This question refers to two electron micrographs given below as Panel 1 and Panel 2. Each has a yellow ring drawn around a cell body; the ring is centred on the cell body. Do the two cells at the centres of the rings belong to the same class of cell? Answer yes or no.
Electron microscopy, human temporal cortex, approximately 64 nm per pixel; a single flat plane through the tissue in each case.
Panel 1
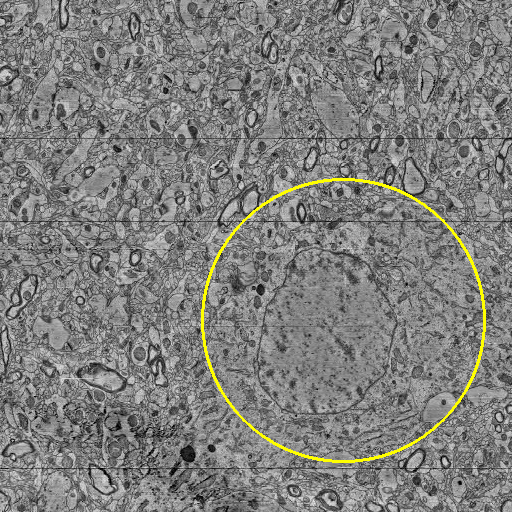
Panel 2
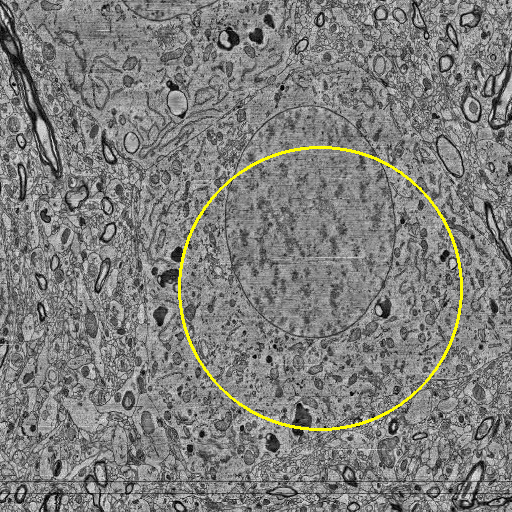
yes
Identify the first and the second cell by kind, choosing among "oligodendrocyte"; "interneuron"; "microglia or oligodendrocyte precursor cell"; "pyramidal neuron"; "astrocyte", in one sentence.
The first and the second cell are each a pyramidal neuron.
